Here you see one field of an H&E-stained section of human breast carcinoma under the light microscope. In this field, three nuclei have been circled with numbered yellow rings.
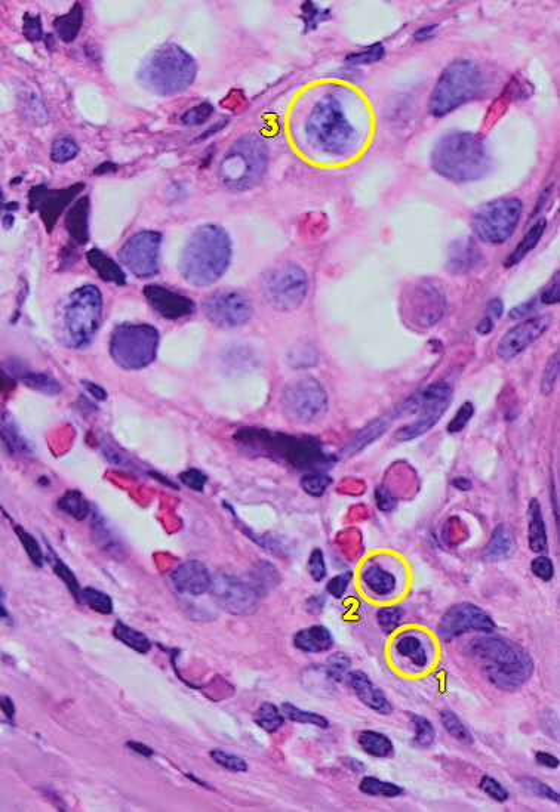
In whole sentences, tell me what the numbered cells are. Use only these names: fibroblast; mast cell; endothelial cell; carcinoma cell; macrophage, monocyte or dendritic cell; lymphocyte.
Cells 1 and 2 are lymphocytes. Cell 3 is a carcinoma cell.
